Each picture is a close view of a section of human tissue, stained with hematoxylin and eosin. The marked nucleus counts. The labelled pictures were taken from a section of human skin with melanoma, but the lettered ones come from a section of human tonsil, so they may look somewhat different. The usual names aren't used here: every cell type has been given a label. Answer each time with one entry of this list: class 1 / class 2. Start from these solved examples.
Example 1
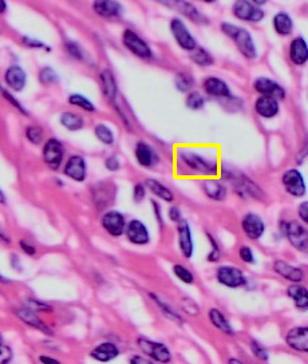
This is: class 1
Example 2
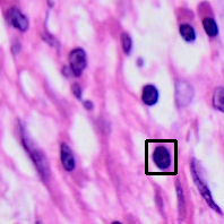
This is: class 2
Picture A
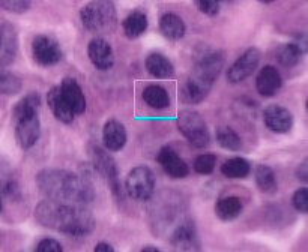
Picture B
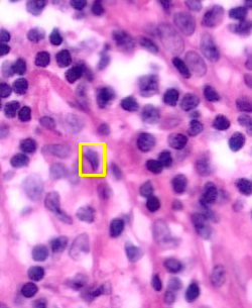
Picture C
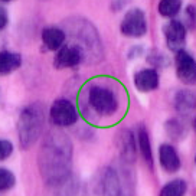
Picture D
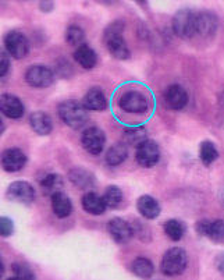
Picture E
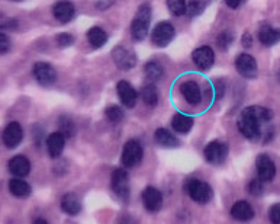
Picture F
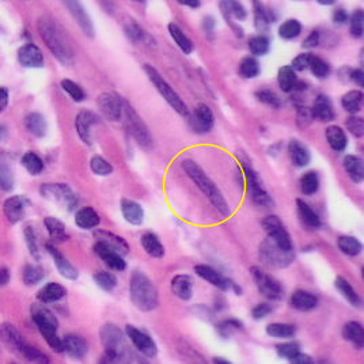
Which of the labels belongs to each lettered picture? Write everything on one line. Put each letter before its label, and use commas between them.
A class 2, B class 1, C class 1, D class 2, E class 2, F class 1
